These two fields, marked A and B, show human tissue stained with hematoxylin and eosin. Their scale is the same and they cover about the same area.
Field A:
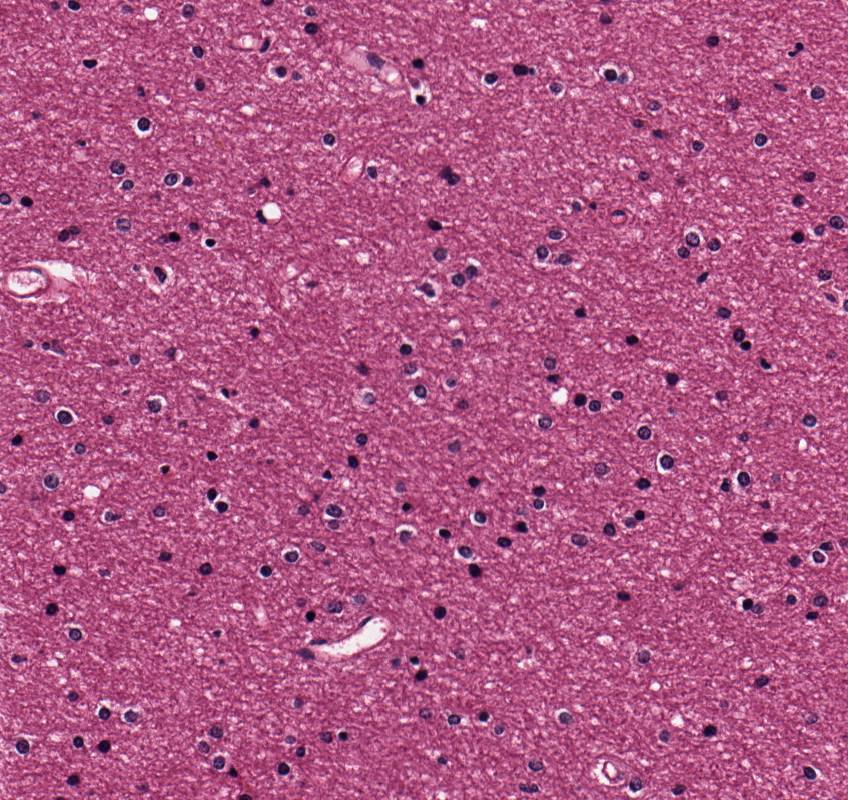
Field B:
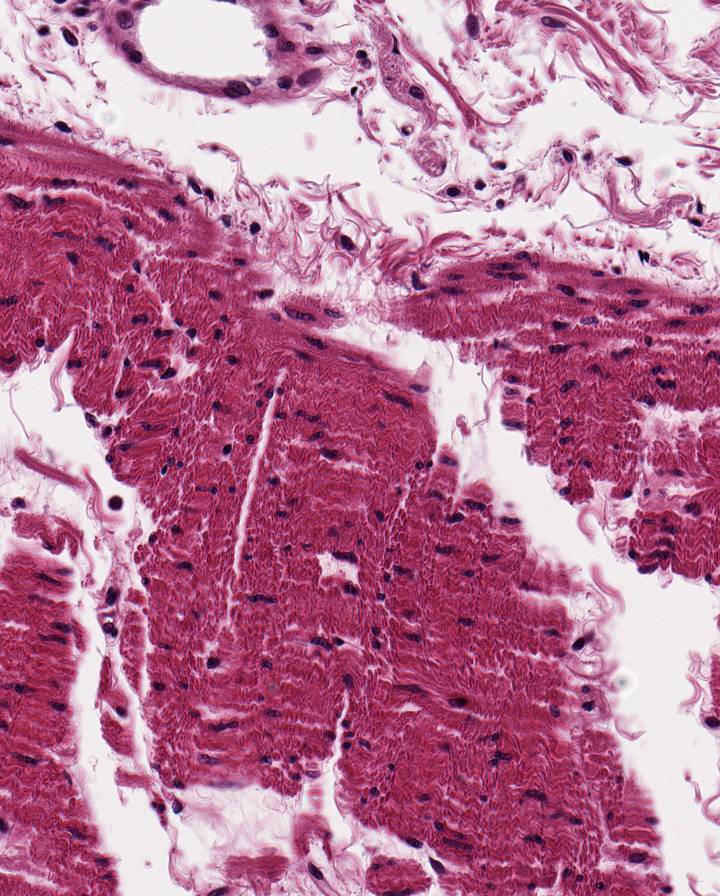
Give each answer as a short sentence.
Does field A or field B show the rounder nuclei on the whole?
The nuclei are rounder in field A.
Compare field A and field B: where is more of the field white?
It is field B in which white space covers the larger part.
